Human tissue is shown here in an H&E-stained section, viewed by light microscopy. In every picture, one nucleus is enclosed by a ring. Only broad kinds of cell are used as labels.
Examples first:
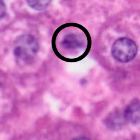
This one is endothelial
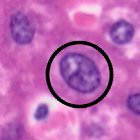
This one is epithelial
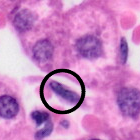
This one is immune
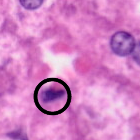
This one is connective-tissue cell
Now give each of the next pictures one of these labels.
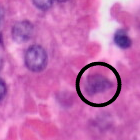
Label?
endothelial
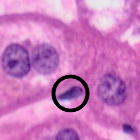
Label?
endothelial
